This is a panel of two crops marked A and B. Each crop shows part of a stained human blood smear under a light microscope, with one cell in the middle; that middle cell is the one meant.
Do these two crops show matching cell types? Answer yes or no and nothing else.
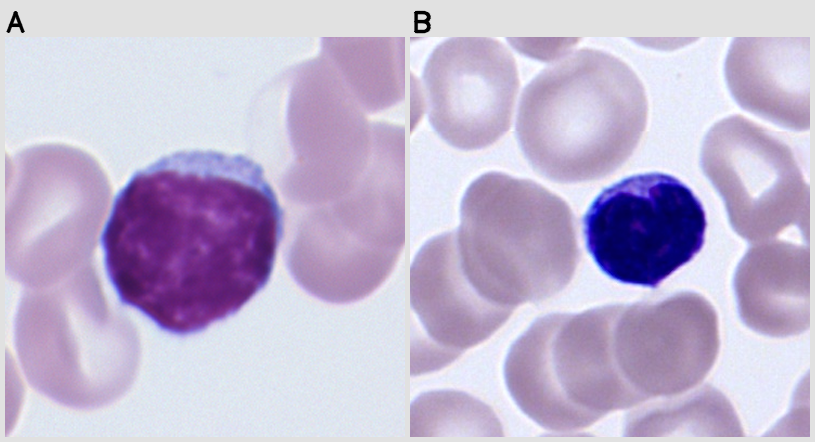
yes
